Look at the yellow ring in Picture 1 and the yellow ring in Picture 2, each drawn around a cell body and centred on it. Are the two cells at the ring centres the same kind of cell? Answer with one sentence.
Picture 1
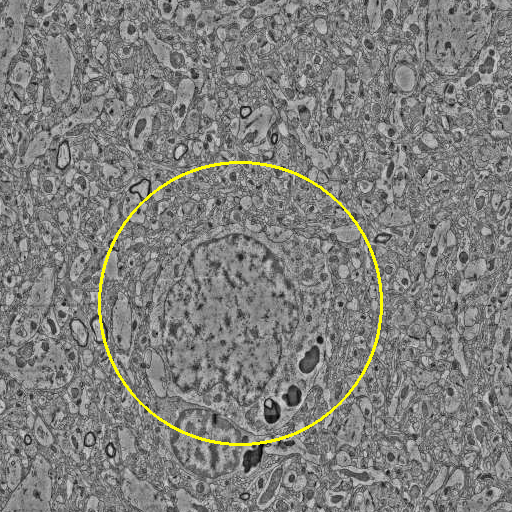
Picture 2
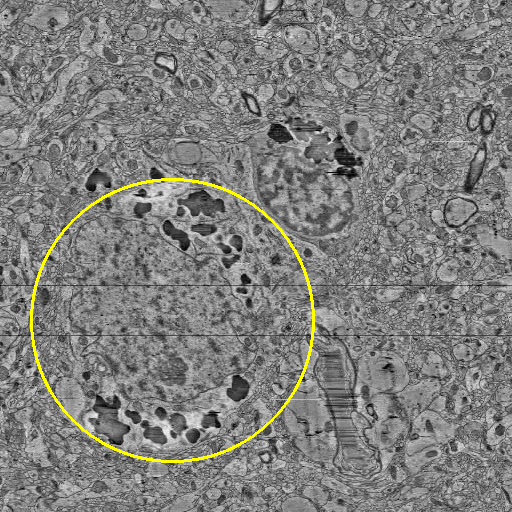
Yes, both are the same kind of cell.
